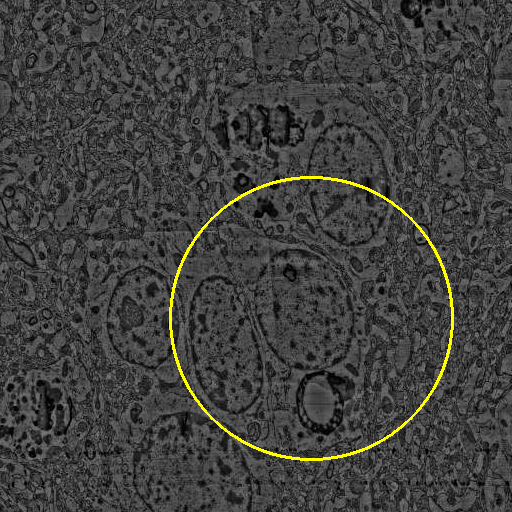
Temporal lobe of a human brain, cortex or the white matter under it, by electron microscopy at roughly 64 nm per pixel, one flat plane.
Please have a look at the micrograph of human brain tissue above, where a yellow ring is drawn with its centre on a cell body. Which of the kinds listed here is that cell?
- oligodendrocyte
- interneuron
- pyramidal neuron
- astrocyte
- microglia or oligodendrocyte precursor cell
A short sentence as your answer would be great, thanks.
At the centre of the ring sits an astrocyte.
